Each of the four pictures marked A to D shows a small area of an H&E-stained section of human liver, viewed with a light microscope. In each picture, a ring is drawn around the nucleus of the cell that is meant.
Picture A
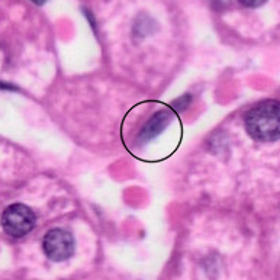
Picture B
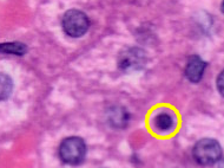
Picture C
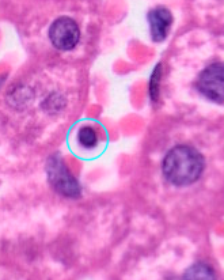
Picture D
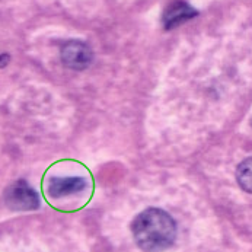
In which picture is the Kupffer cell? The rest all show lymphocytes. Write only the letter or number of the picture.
A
